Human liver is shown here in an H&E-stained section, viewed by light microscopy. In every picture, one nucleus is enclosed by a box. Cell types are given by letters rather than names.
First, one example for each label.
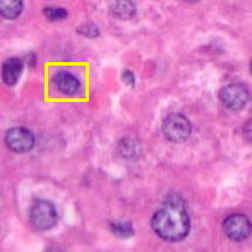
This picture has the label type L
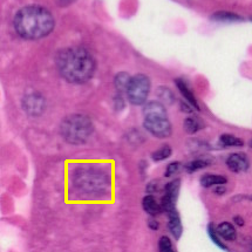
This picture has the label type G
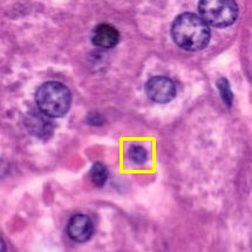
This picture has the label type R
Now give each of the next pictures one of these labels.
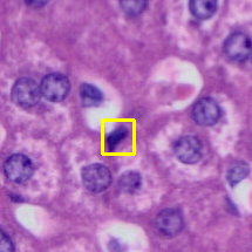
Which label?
type L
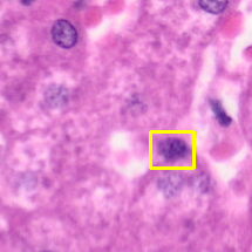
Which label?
type L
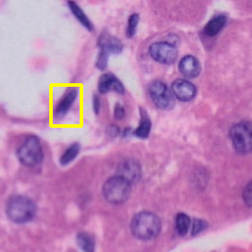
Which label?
type L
